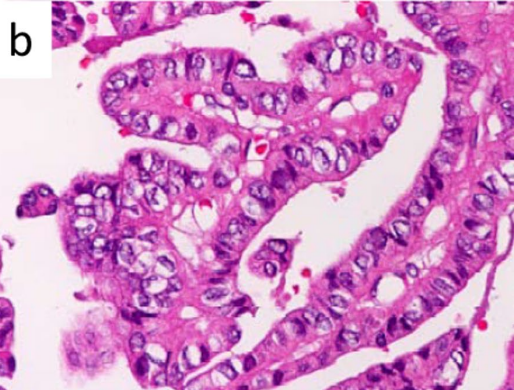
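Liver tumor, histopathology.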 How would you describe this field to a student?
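Papillary fronds of atypical carcinoma cells line thin cores and project into open spaces. The cells are columnar to cuboidal with pink cytoplasm and crowded, overlapping nuclei. Many nuclei look pale and cleared with clumped chromatin at the rim, and some appear grooved. Scattered red blood cells lie in the spaces between the fronds.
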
